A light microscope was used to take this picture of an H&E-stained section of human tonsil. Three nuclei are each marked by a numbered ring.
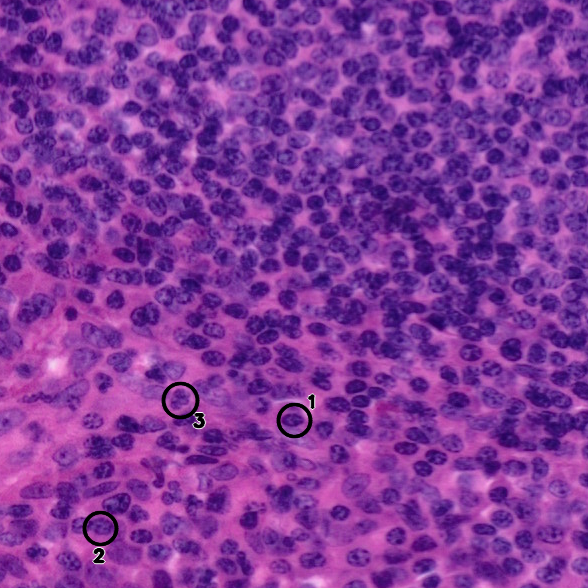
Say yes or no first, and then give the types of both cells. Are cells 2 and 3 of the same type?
No, as for cell 2, it is a plasma cell, and cell 3 is an endothelial cell.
